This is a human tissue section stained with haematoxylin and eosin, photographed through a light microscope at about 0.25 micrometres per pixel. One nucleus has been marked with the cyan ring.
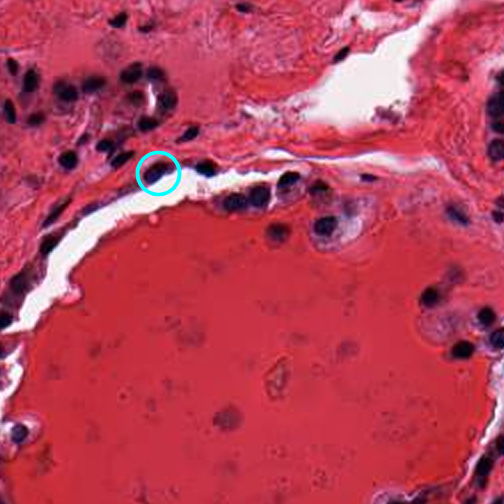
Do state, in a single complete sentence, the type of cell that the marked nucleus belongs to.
The marked nucleus here is the nucleus of a thyroid follicular cell.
